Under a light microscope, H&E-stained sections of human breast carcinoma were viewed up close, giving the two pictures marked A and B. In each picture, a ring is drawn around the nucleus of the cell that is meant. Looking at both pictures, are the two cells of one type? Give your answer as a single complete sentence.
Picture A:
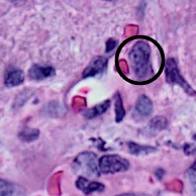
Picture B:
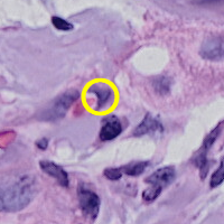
Yes, the two pictures both show endothelial cells.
